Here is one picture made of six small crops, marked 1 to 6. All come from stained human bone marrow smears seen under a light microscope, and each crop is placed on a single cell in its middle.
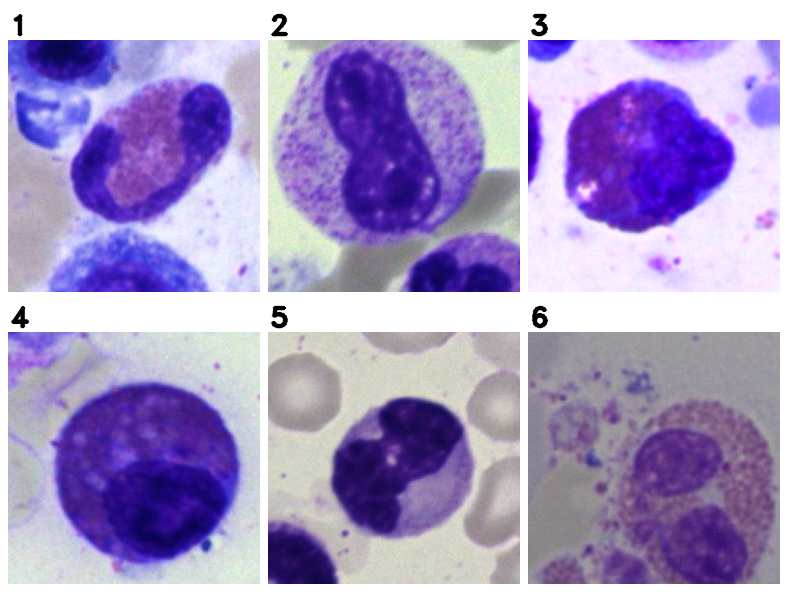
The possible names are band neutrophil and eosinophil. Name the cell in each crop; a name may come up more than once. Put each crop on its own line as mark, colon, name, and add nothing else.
1: eosinophil
2: band neutrophil
3: eosinophil
4: eosinophil
5: band neutrophil
6: eosinophil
